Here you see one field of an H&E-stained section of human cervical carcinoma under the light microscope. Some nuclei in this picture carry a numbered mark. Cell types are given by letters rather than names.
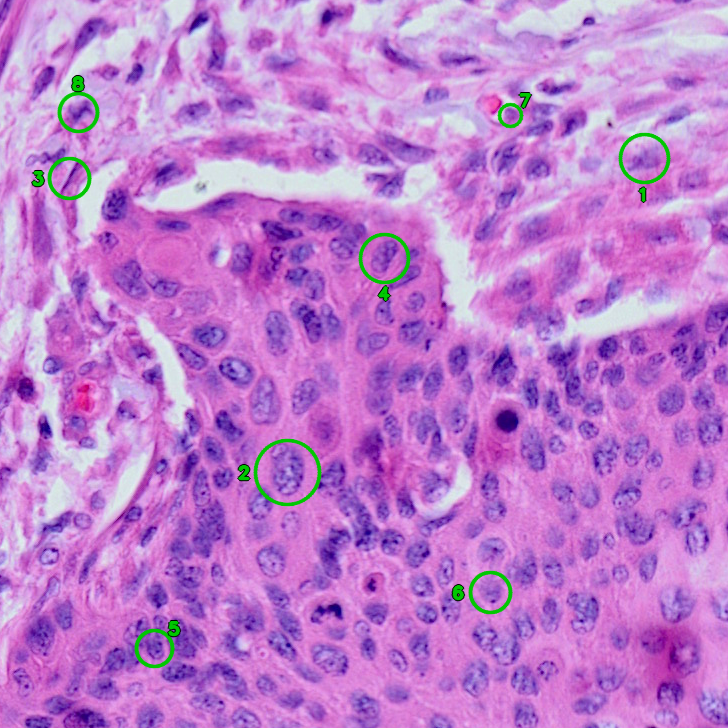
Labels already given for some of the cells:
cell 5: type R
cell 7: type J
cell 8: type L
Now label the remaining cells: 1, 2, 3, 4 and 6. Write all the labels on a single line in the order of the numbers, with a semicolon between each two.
type L; type R; type L; type R; type R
